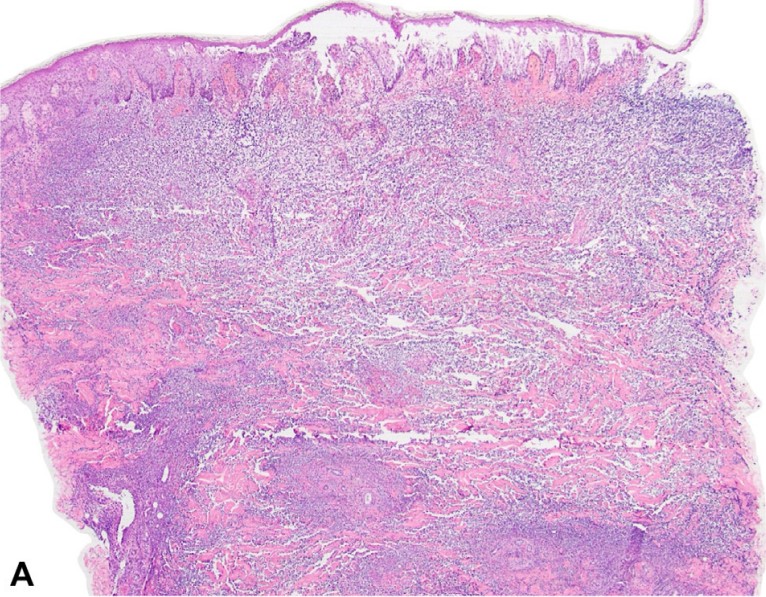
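Skin in full thickness shows an epidermis at the top that is split within its layers, with a thin upper sheet lifted off over a blister space. The dermis beneath, from superficial to deep, is filled by a dense infiltrate of small dark nuclei around vessels and between pink collagen bundles.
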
